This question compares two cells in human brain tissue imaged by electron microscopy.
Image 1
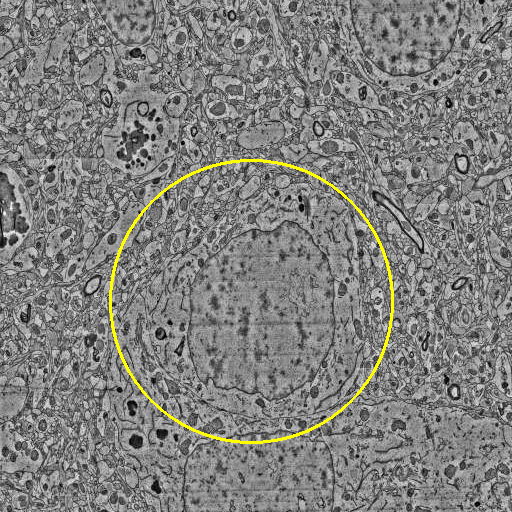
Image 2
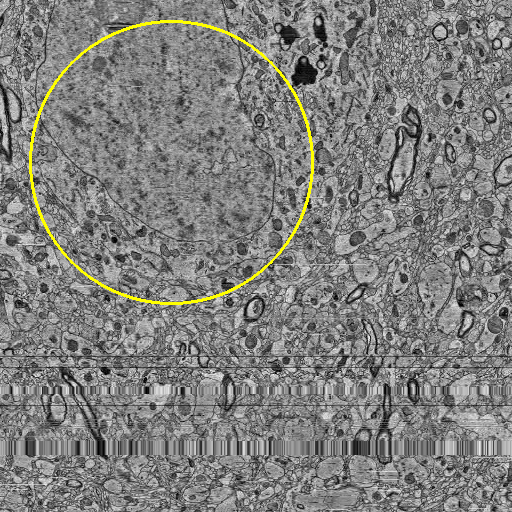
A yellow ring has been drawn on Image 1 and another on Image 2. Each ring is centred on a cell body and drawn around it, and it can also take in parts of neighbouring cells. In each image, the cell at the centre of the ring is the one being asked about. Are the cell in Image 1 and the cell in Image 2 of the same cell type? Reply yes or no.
yes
